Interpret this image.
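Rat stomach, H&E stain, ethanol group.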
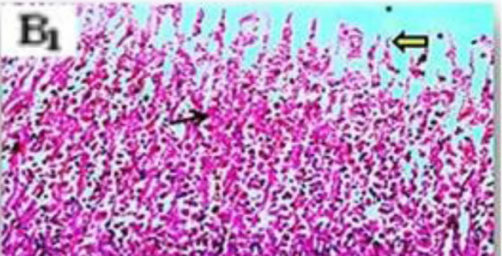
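Gastric mucosa with its upper part broken up. The surface epithelium is separated into loose strands and fragments with clear gaps between them. Below, the mucosa is crowded with dark purple nuclei among pink cytoplasm, and red-stained areas lie between the glands. The normal orderly columns of glands are blurred.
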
